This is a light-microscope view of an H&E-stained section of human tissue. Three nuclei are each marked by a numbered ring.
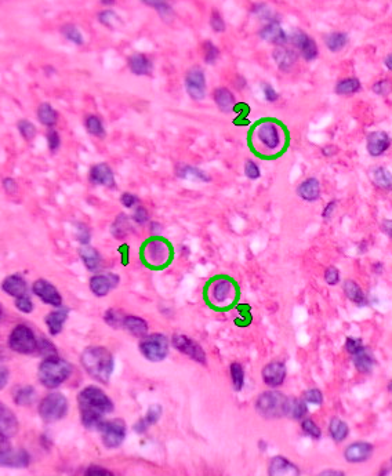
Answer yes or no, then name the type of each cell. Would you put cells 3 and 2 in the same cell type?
No, the identities are a smooth muscle cell or pericyte for cell 3 and a mast cell for cell 2.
